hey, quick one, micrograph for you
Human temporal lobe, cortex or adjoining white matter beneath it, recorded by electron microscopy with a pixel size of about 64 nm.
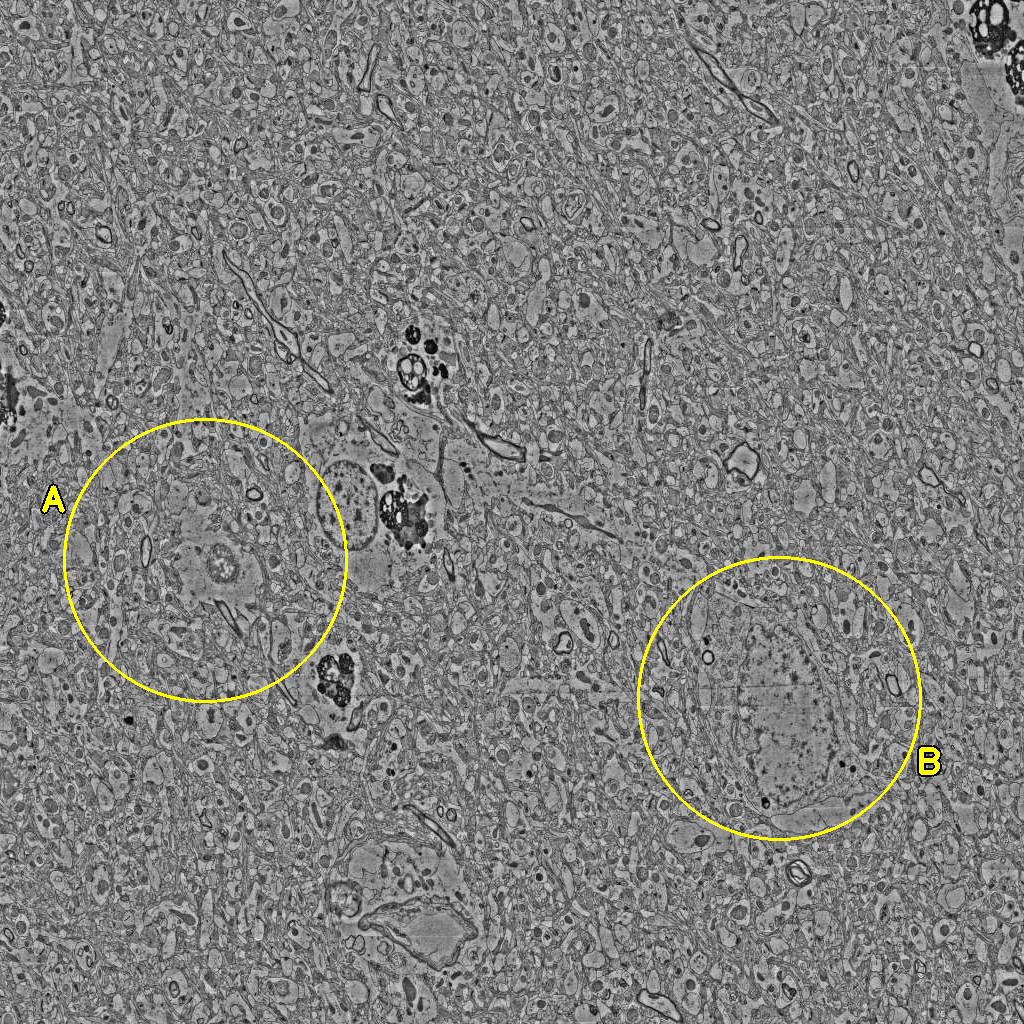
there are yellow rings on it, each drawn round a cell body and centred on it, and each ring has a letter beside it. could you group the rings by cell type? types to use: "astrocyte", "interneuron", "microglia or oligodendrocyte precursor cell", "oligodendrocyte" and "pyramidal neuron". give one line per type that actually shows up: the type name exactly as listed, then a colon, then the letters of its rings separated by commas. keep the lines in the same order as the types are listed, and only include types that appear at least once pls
astrocyte: A
interneuron: B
